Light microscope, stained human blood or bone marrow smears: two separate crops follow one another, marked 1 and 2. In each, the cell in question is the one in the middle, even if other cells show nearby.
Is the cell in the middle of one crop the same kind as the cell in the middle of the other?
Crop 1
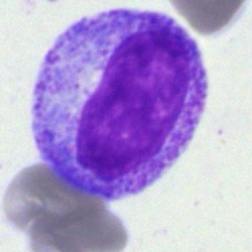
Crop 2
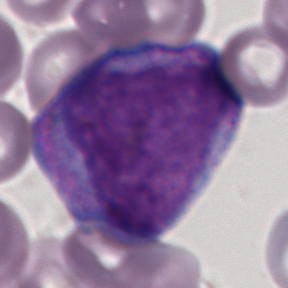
yes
